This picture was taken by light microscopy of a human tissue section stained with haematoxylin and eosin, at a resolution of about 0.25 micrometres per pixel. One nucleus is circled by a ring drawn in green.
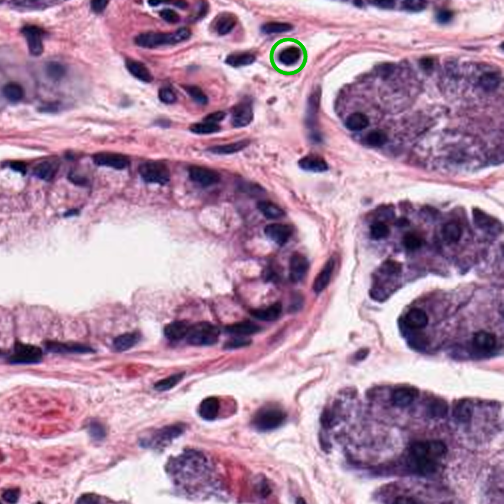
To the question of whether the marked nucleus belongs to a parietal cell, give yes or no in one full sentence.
No, the marked nucleus sits in a supporting cell; a parietal cell does not contain it.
